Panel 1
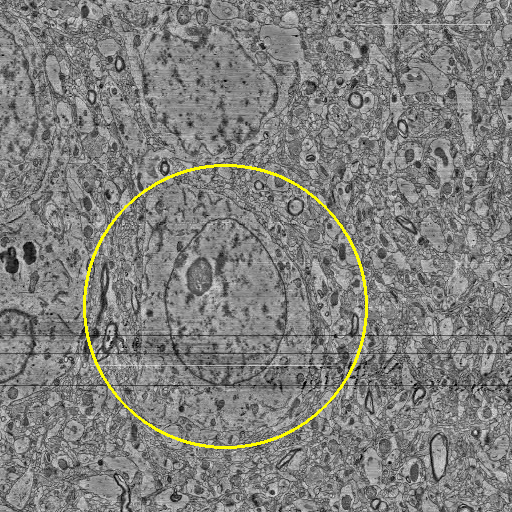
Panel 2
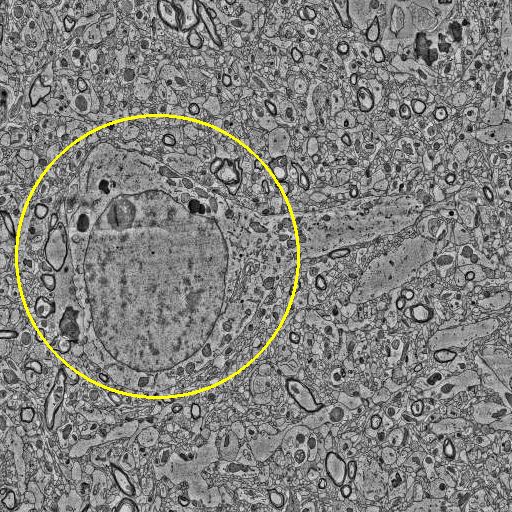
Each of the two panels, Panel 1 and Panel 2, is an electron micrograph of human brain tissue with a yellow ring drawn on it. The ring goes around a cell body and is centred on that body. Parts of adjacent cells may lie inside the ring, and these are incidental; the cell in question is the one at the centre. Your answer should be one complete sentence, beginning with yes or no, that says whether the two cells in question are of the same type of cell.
Yes, the two cells are of the same type.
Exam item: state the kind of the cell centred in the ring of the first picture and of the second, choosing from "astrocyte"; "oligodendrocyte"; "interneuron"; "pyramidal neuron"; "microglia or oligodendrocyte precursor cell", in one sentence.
In each of the two pictures, the ringed cell is a pyramidal neuron.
